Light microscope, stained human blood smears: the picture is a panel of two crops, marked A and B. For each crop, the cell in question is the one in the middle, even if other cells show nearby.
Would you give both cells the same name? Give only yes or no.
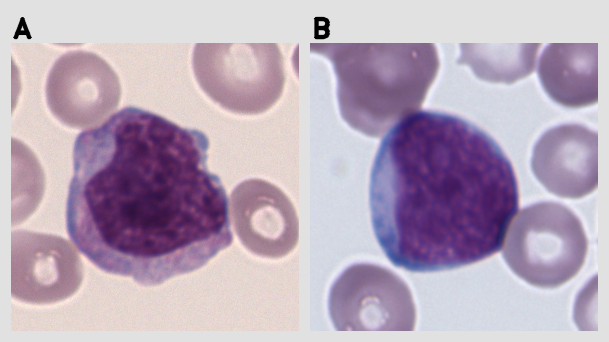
no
